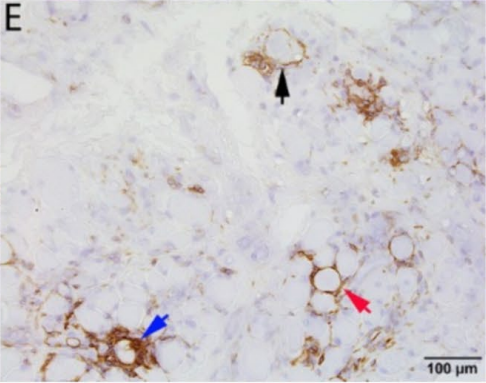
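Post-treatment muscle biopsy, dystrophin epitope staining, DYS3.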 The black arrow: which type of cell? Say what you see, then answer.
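The arrow points at a round cross-sectioned fiber with a brown rim. Surrounding tissue holds many small nucleated cells. So: myofibers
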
